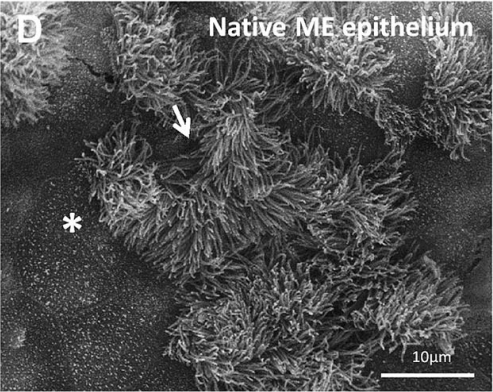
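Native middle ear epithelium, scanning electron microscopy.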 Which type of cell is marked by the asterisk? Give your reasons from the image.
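The marked area is a flat surface with only short fine bumps. It lies between the raised tufted cells. That points to this answer: flatter polygonal cells.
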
